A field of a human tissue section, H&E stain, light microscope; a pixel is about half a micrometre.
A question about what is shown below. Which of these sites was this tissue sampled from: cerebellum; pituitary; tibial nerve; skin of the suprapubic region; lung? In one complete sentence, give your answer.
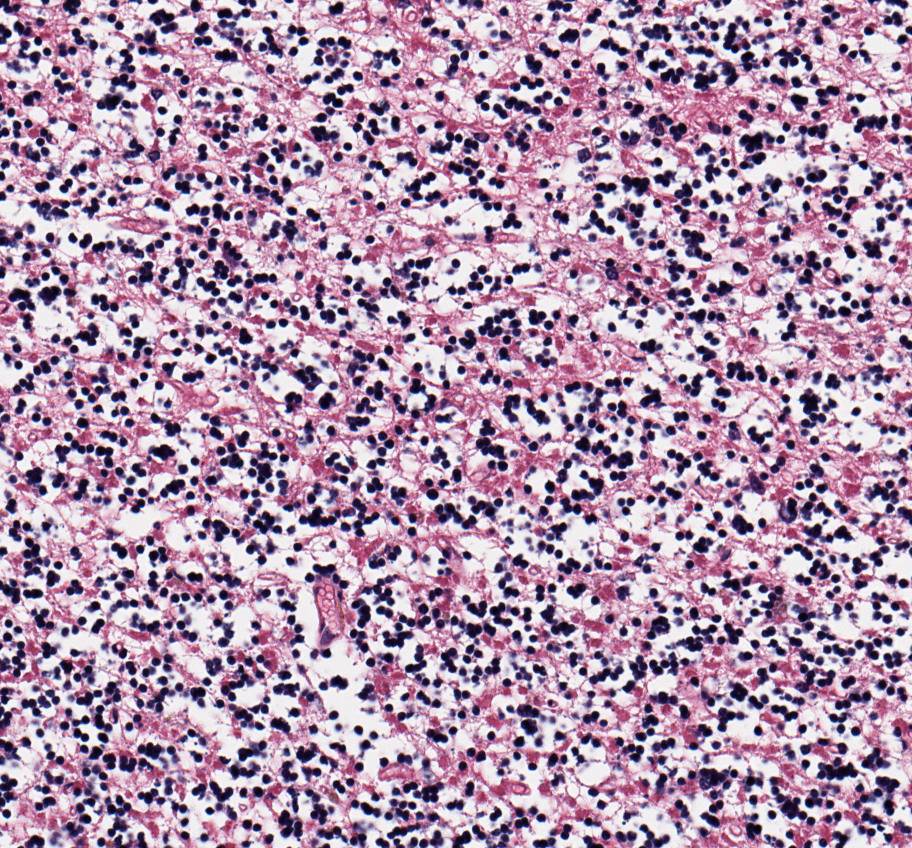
From the cerebellum was taken the tissue in this section.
